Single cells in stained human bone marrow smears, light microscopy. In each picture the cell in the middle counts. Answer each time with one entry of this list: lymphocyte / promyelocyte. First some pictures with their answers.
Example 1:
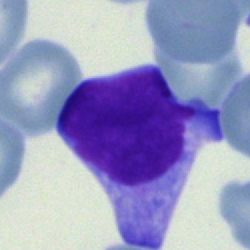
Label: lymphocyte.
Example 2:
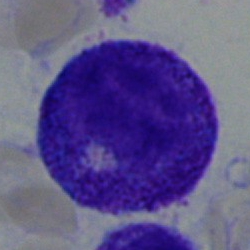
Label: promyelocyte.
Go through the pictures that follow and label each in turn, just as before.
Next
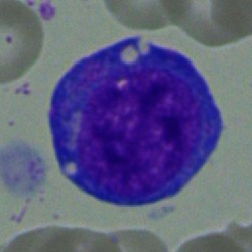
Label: promyelocyte.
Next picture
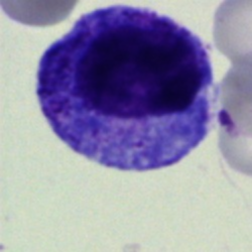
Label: promyelocyte.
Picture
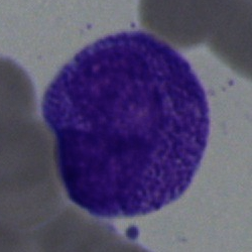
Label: promyelocyte.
